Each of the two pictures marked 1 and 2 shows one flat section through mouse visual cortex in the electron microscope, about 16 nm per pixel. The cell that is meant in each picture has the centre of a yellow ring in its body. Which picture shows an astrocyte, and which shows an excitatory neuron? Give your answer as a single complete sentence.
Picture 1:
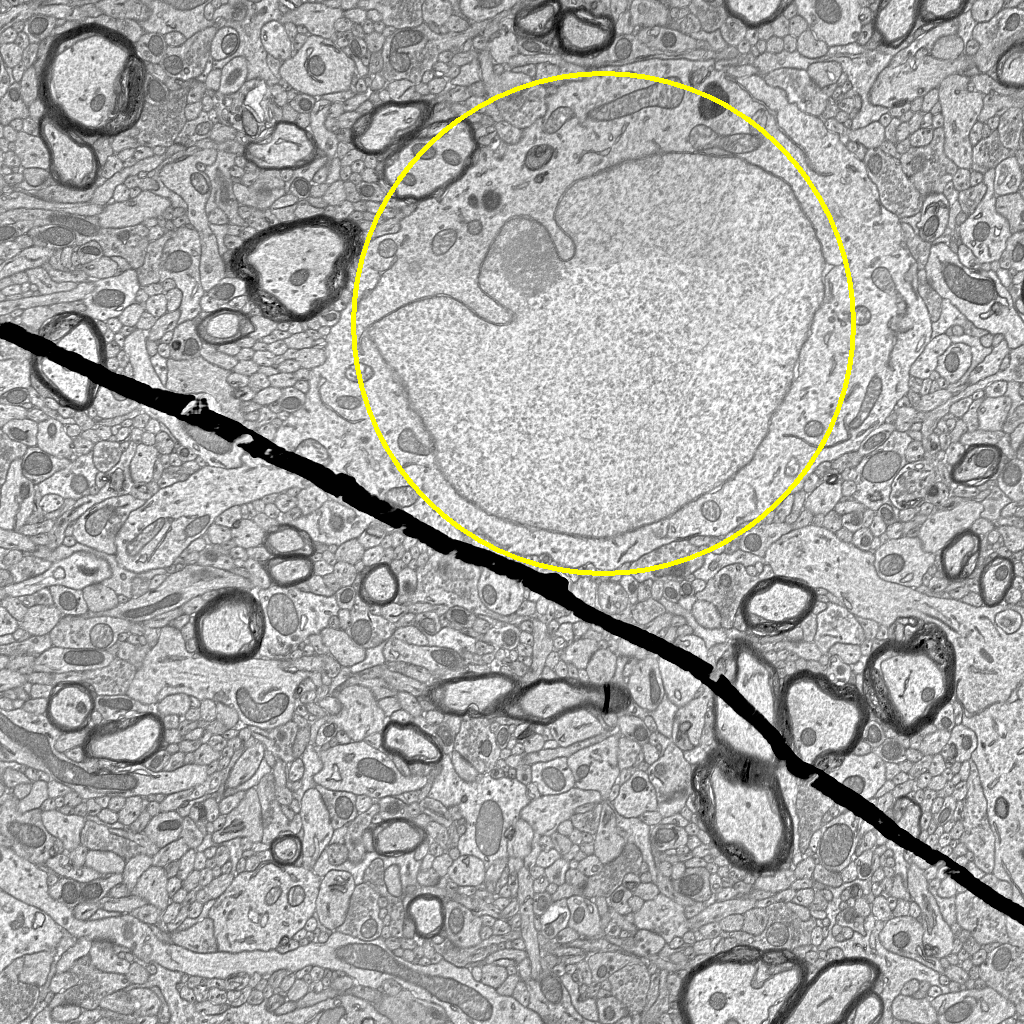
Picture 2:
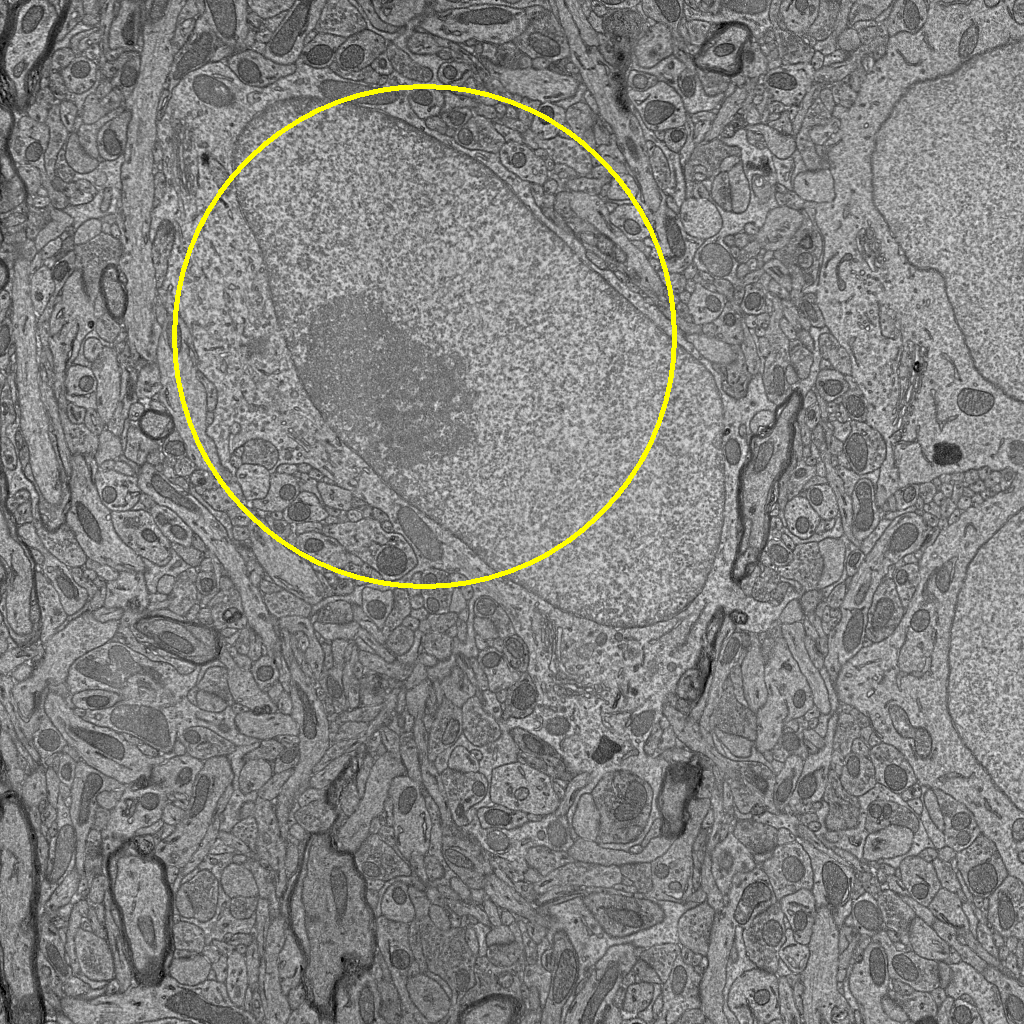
It is picture 1 that shows an excitatory neuron, and picture 2 that shows an astrocyte.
